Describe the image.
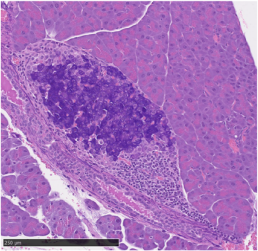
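A pancreatic islet lies within pink exocrine acinar tissue. The islet is an oval cluster of cells whose cytoplasm is filled with dark purple granular material. Along one side of the islet, next to a vessel or duct with loose pale connective tissue, runs a band of small, densely packed cells with small dark round nuclei. This band of small cells lies at the edge of the islet rather than deep within the purple cell mass.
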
